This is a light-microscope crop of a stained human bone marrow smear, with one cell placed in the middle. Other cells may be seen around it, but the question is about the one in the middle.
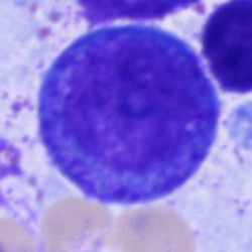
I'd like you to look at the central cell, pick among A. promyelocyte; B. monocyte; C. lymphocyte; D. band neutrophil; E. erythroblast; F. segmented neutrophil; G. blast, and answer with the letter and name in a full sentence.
The cell right in the middle is a promyelocyte, so option A is the one.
